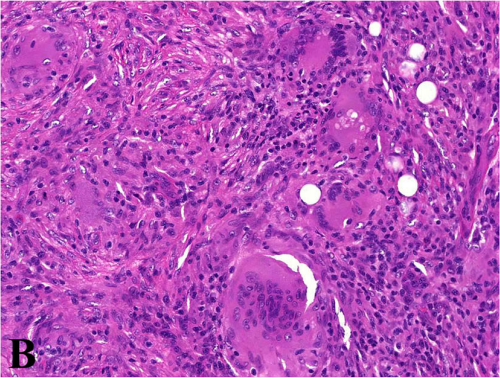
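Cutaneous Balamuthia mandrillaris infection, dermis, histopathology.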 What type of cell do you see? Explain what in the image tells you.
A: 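Several large cells with abundant pink cytoplasm contain many nuclei. The large cells lie among a dense infiltrate of smaller cells with dark nuclei. On this evidence: multinuclear giant cells.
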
